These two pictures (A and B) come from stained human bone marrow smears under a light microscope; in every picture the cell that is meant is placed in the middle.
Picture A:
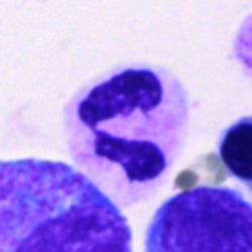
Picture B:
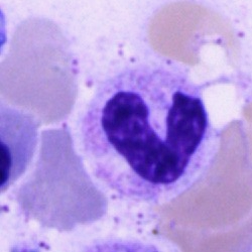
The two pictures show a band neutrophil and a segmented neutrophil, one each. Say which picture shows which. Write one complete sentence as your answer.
In picture A the cell is a segmented neutrophil; in picture B, a band neutrophil.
